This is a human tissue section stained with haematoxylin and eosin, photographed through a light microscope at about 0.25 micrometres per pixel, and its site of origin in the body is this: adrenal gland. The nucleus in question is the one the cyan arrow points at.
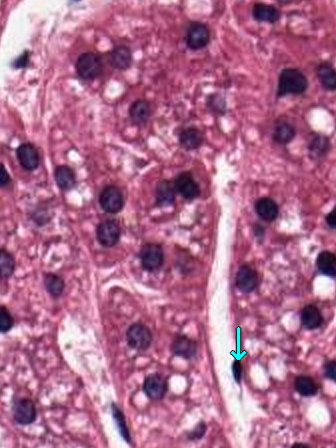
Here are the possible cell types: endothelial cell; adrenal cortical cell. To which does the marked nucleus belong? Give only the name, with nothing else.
endothelial cell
